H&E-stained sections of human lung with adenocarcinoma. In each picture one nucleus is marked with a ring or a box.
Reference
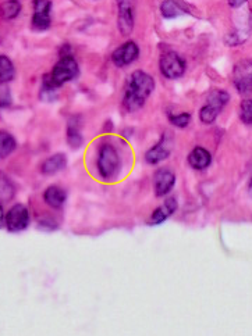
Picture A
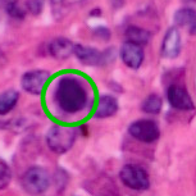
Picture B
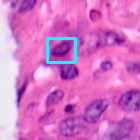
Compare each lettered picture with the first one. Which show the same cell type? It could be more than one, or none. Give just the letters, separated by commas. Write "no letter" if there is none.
A, B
